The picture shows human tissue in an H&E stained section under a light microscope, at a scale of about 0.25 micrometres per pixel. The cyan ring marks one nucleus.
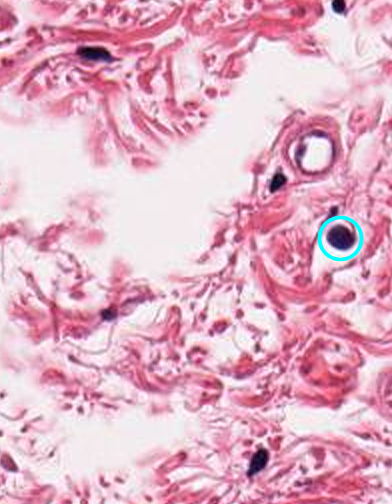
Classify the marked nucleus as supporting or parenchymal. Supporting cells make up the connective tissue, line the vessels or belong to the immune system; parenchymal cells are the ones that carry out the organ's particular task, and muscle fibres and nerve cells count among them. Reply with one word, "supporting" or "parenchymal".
supporting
